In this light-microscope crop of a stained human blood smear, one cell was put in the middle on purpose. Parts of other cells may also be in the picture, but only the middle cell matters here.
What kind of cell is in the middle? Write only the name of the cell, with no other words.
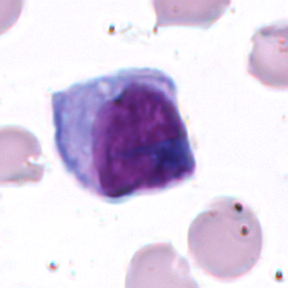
plasma cell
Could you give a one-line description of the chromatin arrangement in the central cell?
There is no coarse clumping; the chromatin stays fine throughout.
